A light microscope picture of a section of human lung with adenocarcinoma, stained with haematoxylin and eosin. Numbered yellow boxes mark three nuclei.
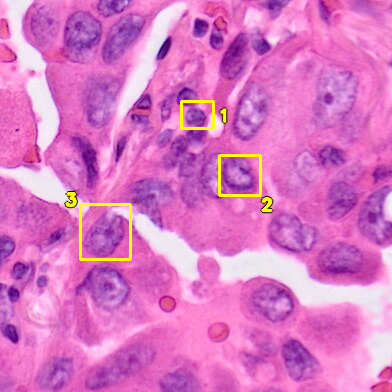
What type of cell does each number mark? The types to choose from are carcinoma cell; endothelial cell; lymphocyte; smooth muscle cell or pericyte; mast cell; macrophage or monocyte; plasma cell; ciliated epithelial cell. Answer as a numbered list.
1. lymphocyte
2. carcinoma cell
3. carcinoma cell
